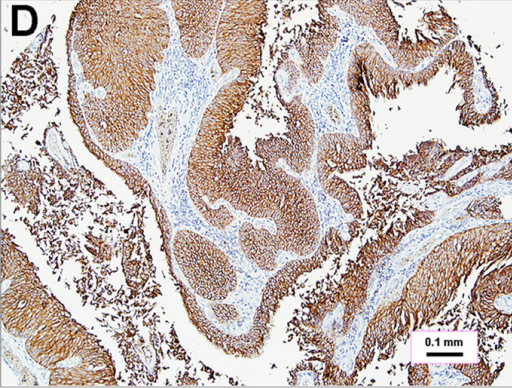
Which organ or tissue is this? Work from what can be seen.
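Thick fronds of stratified epithelium with thin pale fibrovascular cores. Papillary, branching architecture with many cell layers.
Conclusion: urinary bladder cancer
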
